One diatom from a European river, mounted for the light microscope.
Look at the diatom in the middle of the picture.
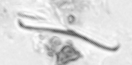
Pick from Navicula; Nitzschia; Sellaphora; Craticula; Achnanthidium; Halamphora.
Achnanthidium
